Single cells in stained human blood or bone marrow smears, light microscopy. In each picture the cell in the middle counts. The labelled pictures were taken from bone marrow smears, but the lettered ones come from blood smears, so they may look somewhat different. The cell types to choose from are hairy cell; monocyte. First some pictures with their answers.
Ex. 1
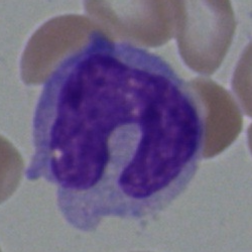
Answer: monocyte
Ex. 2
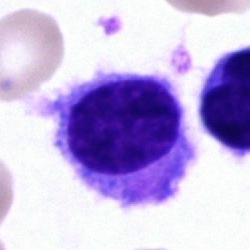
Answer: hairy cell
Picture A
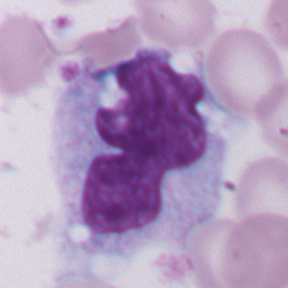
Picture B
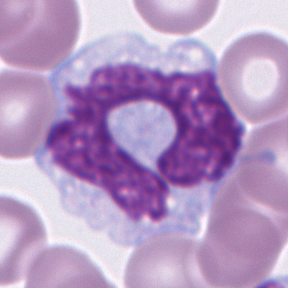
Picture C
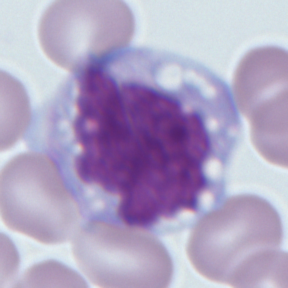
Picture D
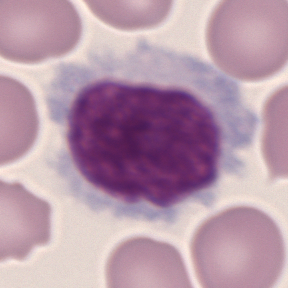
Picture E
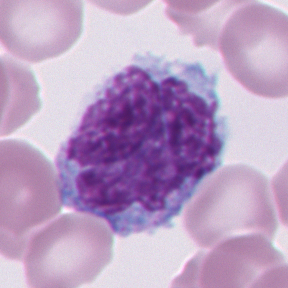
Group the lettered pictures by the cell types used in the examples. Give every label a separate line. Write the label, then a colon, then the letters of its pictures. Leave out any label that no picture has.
hairy cell: D
monocyte: A, B, C, E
